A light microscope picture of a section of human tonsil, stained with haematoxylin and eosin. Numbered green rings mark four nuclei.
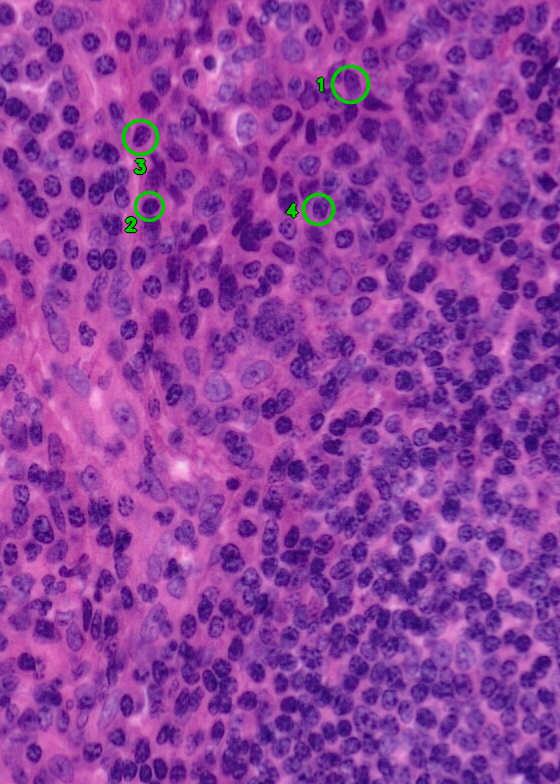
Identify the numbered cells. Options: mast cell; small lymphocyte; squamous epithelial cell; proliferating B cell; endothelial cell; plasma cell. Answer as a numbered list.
1. squamous epithelial cell
2. plasma cell
3. plasma cell
4. plasma cell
